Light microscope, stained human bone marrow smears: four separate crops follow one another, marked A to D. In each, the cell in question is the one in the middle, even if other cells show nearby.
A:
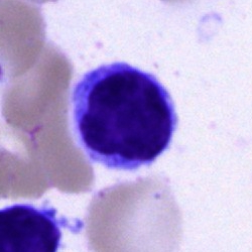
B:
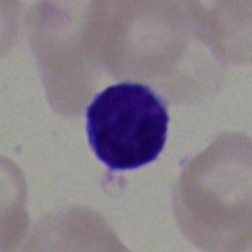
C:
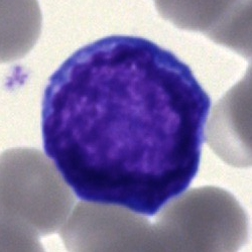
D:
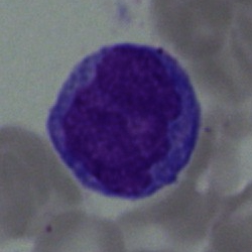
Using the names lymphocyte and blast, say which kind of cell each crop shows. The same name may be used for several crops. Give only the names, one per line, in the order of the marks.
lymphocyte
lymphocyte
blast
blast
